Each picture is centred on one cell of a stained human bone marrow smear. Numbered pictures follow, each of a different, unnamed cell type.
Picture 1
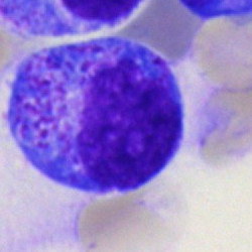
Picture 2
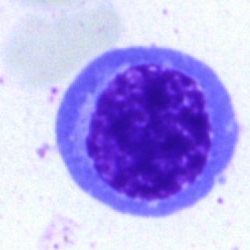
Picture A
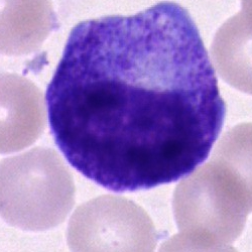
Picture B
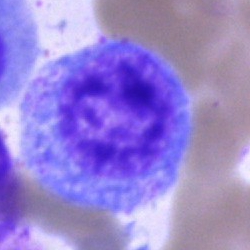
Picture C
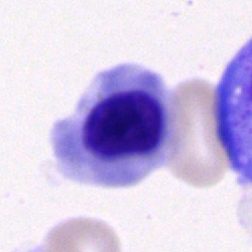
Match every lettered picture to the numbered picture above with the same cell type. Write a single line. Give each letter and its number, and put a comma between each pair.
A 1, B 1, C 2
